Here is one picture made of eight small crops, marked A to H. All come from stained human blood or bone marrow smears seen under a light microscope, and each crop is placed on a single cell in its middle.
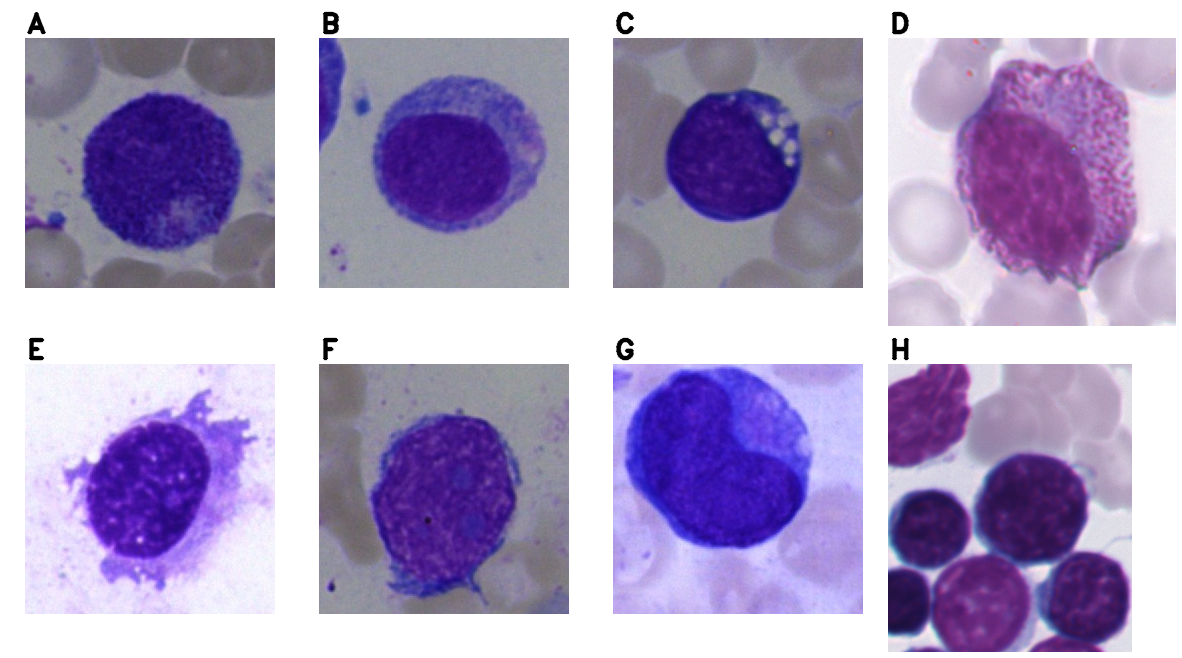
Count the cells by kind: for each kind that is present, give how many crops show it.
blast: 5
promyelocyte: 2
plasma cell: 1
